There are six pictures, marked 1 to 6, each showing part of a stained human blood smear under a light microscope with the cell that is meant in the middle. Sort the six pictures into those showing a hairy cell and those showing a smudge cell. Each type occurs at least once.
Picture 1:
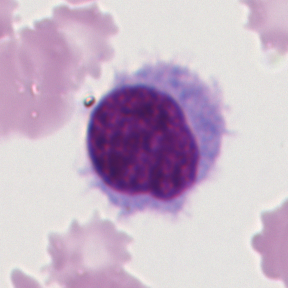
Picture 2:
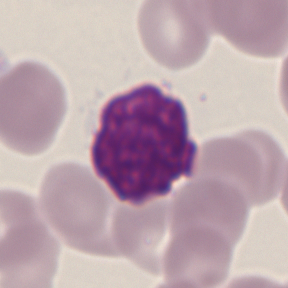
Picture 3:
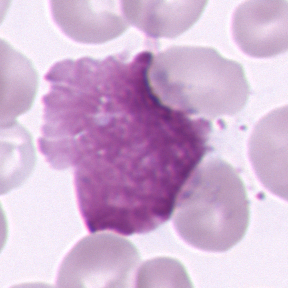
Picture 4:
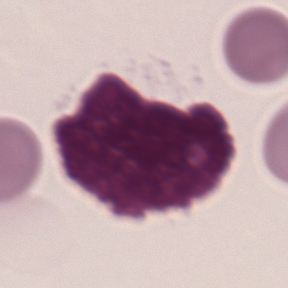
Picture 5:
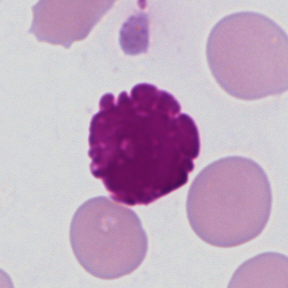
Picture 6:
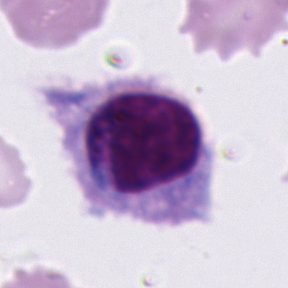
1: hairy cell
2: smudge cell
3: smudge cell
4: smudge cell
5: smudge cell
6: hairy cell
